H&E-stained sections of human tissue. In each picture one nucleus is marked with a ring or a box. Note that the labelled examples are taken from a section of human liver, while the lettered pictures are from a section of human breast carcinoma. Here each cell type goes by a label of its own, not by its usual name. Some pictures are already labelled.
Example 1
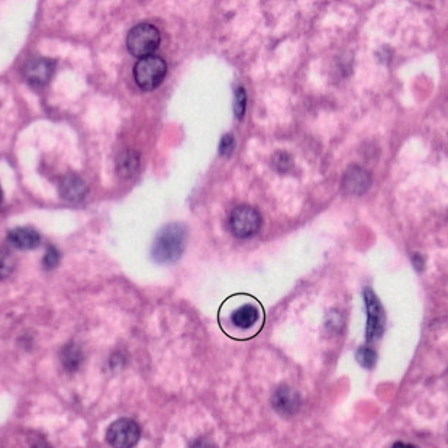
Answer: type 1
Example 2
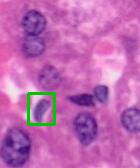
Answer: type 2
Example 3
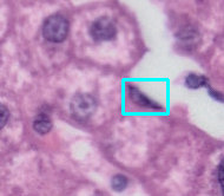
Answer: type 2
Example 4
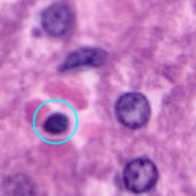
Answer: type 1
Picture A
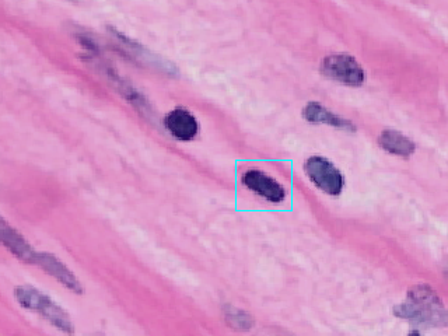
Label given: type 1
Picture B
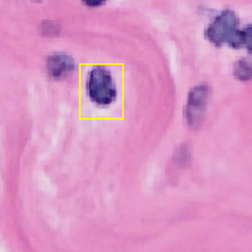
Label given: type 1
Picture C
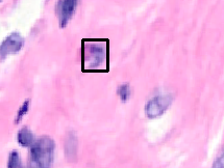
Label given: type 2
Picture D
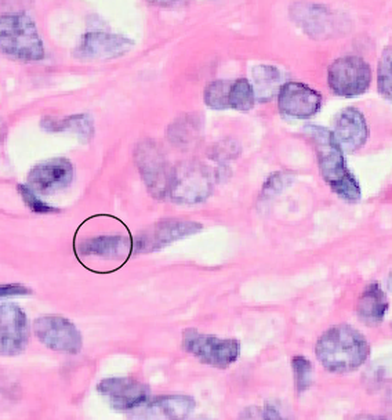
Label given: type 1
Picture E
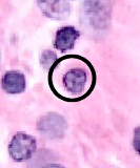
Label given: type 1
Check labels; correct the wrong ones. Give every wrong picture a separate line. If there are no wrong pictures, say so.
D: not type 1 but type 2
